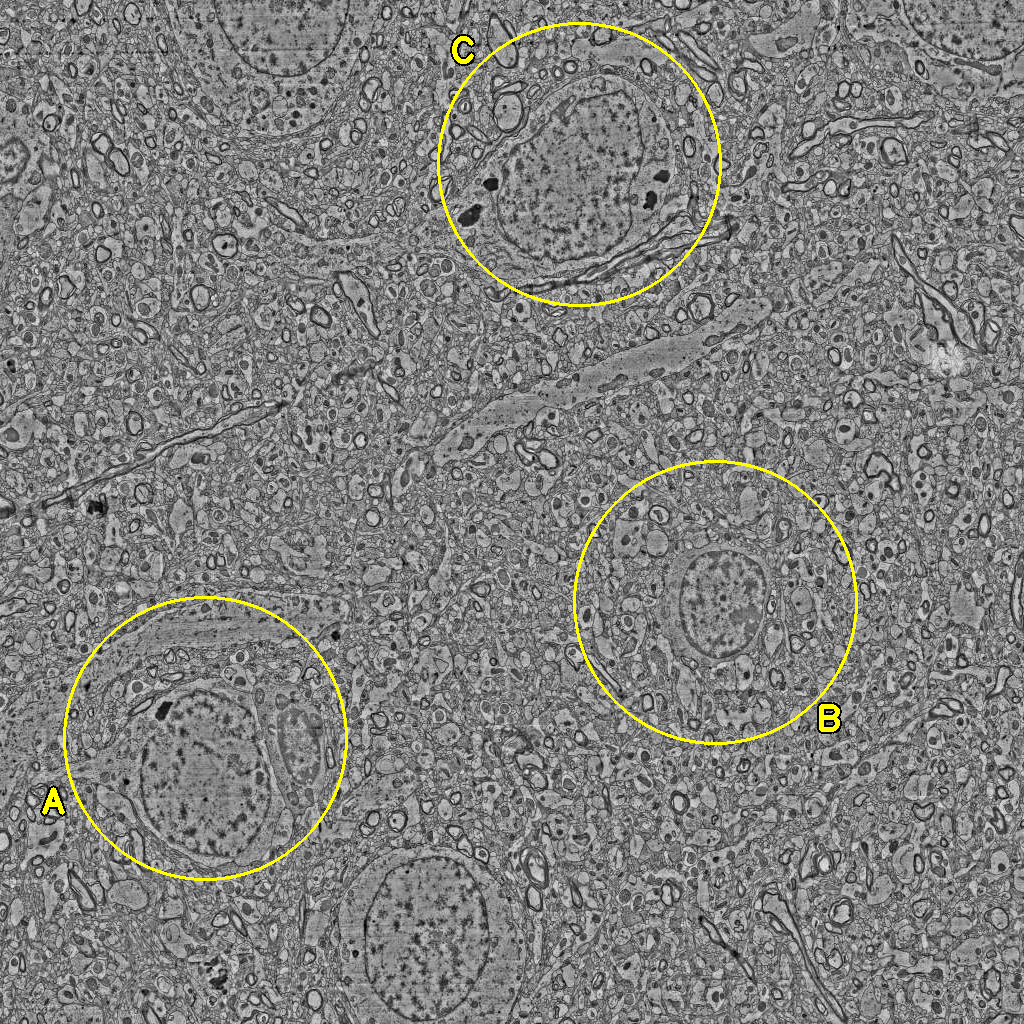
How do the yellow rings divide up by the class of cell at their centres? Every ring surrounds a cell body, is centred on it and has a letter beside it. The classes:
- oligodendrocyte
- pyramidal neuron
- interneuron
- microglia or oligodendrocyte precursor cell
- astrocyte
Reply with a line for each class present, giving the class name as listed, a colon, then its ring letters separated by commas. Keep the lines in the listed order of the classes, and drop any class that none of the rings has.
oligodendrocyte: B
interneuron: A, C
